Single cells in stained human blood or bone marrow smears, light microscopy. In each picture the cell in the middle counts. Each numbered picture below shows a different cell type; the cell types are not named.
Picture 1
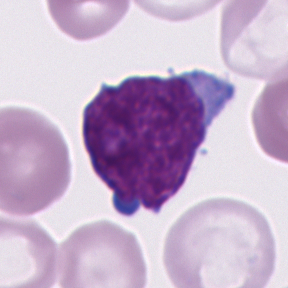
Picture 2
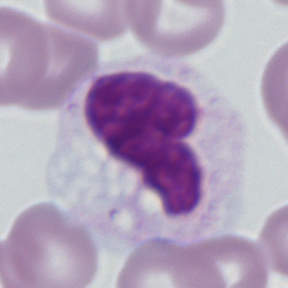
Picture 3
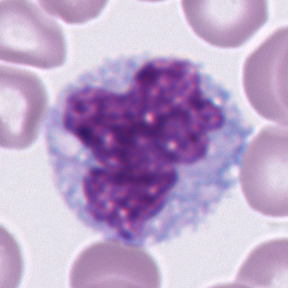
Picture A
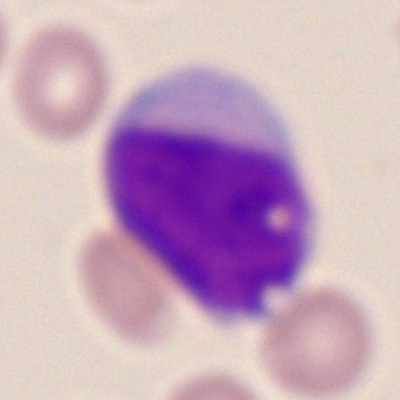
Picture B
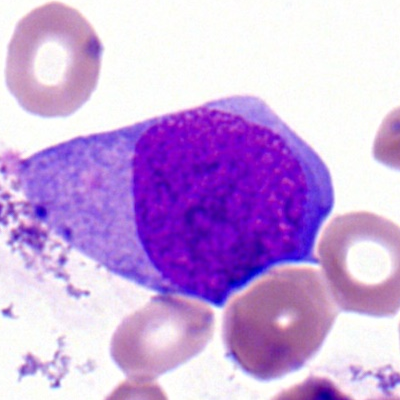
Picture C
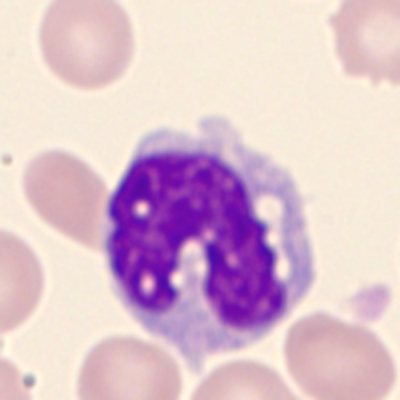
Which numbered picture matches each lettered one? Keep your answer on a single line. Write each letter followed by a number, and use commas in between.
A 1, B 1, C 3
